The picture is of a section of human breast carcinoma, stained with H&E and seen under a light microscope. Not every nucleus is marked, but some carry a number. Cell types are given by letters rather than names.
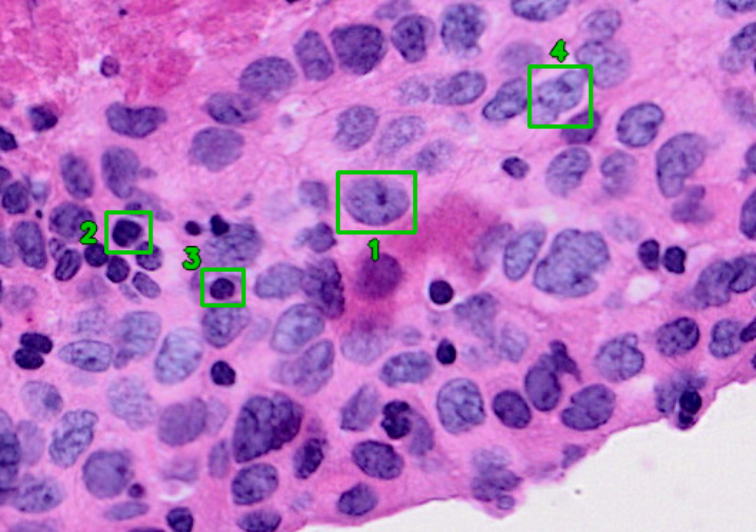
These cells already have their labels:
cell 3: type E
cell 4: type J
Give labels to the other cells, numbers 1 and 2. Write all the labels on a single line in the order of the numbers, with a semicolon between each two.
type J; type E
